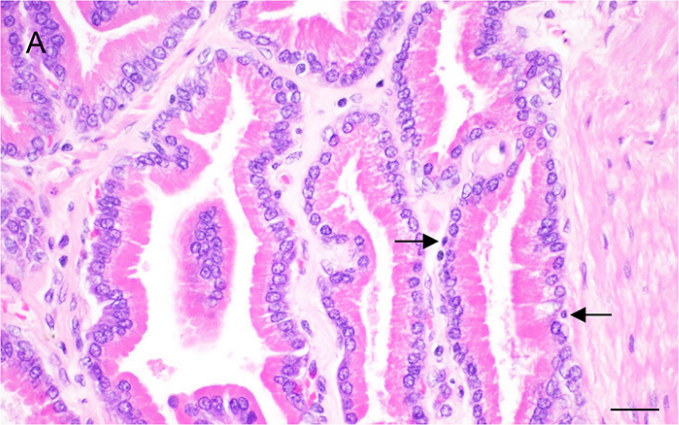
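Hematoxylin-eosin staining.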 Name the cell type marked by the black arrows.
basal cells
